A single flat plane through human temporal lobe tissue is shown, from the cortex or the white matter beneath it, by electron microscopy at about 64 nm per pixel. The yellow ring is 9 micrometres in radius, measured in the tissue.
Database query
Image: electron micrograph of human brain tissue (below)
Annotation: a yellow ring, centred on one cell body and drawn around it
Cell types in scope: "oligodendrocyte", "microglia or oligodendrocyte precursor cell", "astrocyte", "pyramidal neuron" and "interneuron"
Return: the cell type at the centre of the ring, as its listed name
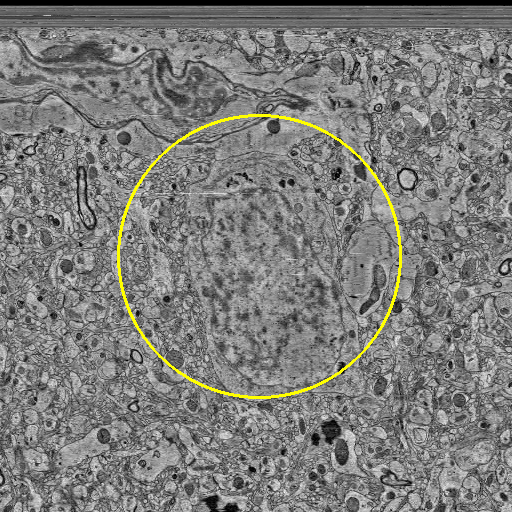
interneuron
